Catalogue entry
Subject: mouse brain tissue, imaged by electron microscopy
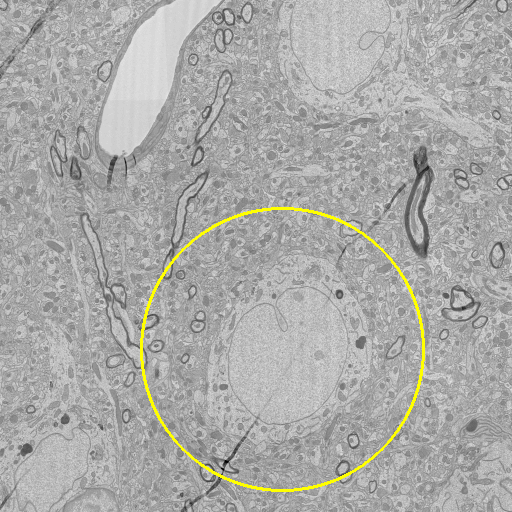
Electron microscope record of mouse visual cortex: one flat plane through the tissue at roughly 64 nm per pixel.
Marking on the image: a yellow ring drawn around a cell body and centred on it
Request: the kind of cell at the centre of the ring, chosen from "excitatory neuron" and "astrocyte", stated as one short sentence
The ring has an excitatory neuron at its centre.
